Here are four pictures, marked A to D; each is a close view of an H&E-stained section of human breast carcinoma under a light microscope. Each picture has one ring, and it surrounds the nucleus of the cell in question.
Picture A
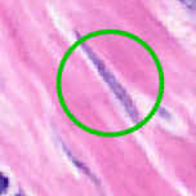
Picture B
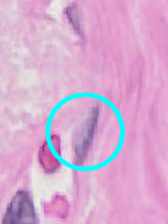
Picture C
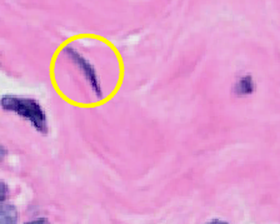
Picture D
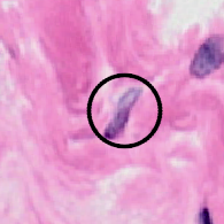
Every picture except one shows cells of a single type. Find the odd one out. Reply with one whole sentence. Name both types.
Picture B is the odd one out: it shows an endothelial cell, while the others show fibroblasts.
